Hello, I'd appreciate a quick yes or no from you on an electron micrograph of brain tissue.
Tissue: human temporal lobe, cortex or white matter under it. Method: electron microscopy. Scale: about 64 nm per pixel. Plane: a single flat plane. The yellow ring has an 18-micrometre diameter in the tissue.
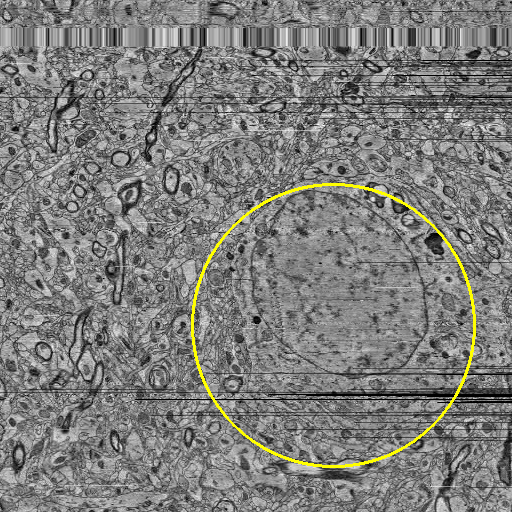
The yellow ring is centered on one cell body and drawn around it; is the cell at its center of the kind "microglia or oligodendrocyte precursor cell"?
no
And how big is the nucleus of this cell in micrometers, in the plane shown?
In this plane the nucleus measures roughly 13 by 11 micrometres.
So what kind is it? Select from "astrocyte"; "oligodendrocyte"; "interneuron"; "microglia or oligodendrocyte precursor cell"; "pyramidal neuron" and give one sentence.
The ringed cell in this picture is, instead, a pyramidal neuron.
